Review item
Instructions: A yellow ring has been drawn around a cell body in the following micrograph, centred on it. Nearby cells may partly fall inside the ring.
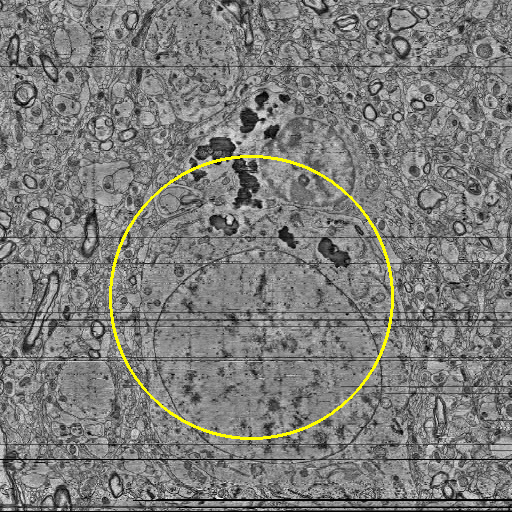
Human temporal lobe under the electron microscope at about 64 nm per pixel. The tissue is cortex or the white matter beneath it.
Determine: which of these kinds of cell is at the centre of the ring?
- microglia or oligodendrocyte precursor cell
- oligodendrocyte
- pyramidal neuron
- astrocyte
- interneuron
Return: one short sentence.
The cell body in the middle of the ring is that of a pyramidal neuron.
